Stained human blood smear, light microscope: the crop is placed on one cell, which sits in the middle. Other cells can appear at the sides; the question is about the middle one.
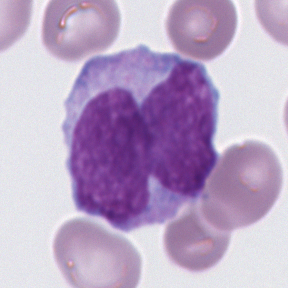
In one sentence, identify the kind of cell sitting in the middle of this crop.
What sits at the centre of this crop is an atypical promyelocyte.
